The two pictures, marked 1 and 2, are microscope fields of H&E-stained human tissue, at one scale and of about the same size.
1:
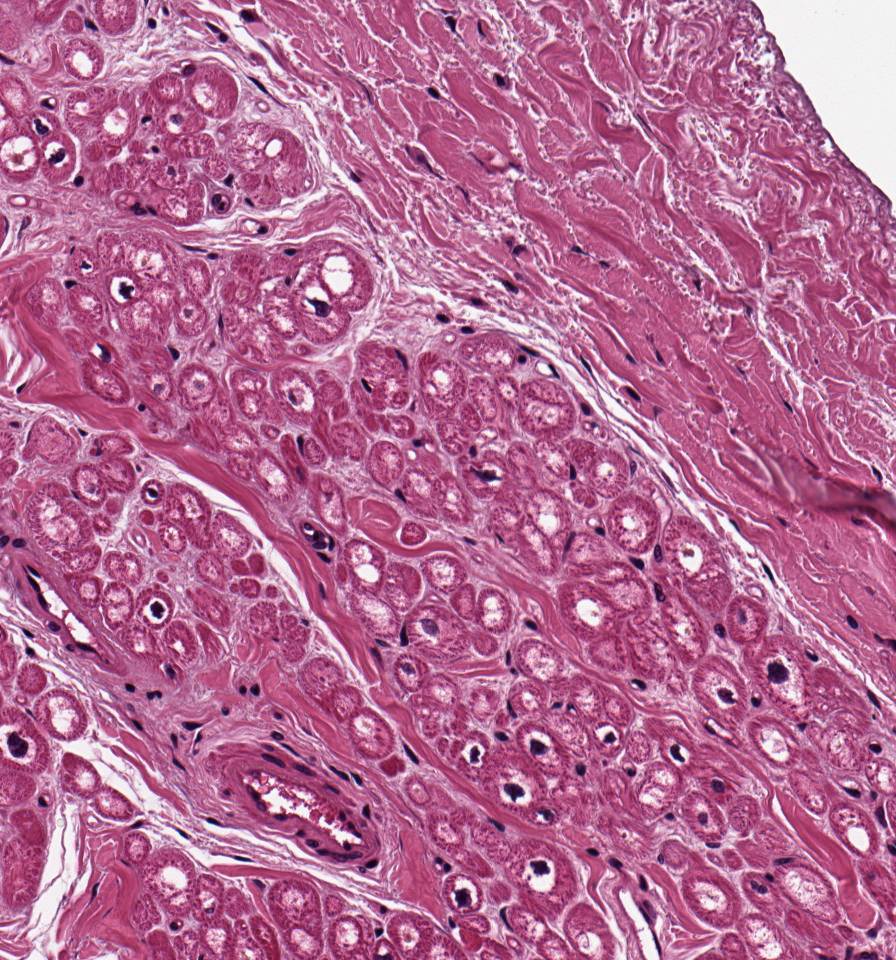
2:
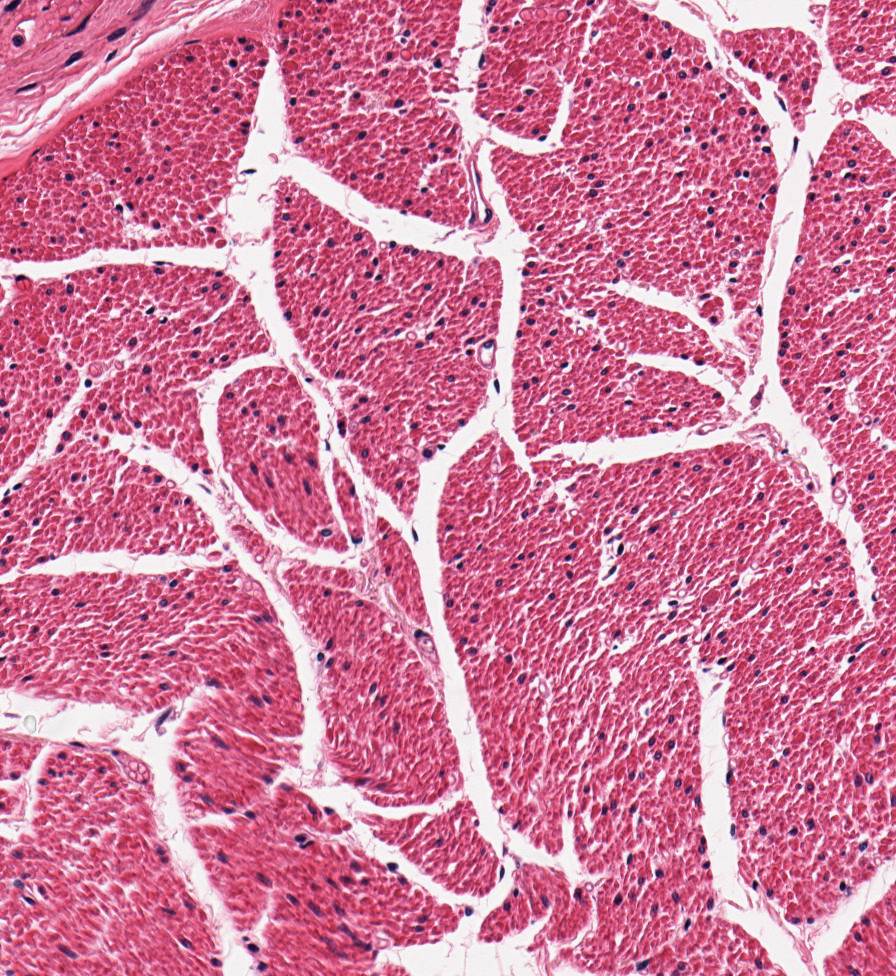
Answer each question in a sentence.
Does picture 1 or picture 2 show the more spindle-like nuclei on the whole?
It is picture 1 whose nuclei are the more elongated.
